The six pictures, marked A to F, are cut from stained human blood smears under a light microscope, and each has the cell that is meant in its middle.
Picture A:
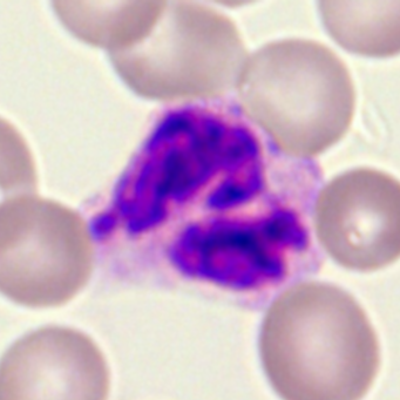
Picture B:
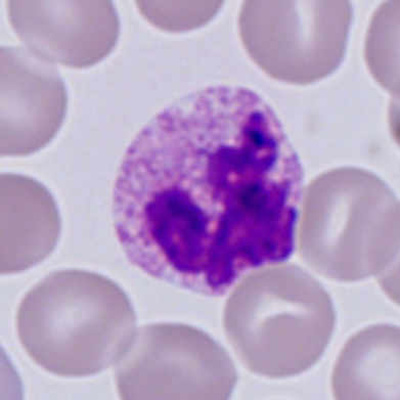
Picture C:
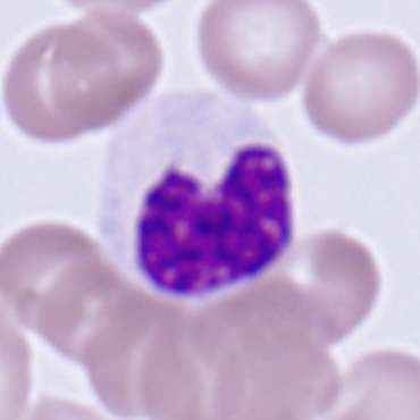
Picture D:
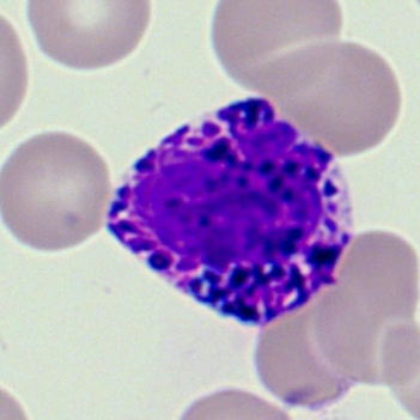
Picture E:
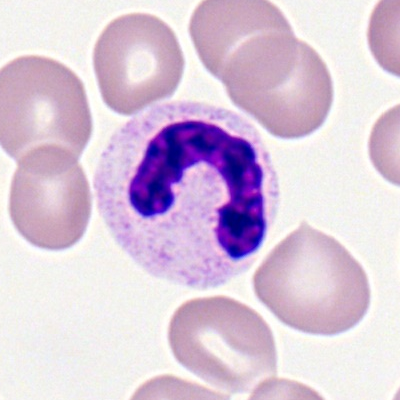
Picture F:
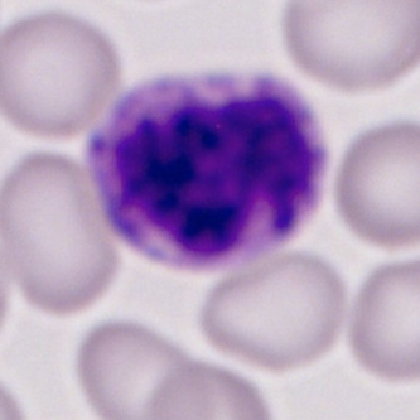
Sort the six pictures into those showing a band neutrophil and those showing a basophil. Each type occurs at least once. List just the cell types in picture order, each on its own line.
basophil
basophil
band neutrophil
basophil
band neutrophil
basophil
